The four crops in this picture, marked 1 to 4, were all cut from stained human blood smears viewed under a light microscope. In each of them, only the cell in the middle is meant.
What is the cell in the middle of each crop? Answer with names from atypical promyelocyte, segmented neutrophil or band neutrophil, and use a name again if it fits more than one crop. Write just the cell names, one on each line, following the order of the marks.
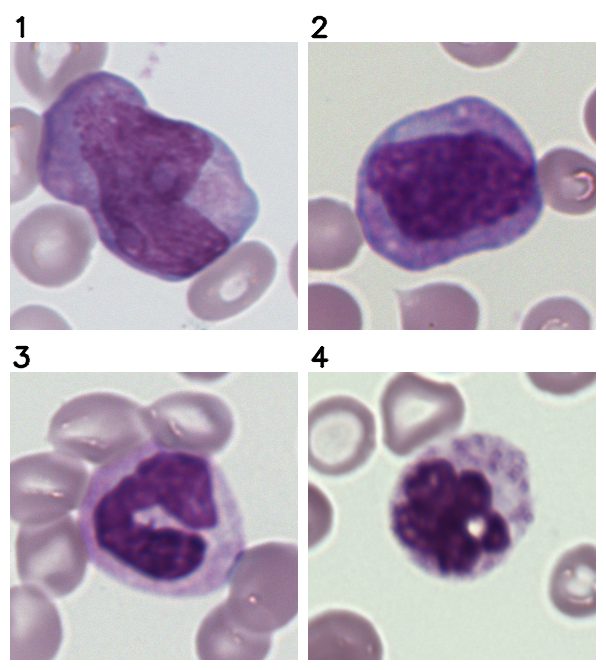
atypical promyelocyte
atypical promyelocyte
band neutrophil
segmented neutrophil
